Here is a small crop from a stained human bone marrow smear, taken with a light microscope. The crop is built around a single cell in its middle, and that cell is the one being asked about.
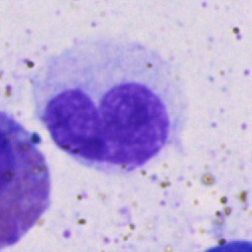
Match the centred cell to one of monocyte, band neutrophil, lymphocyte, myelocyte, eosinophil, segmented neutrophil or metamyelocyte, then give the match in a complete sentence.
Classified as a band neutrophil is the cell in the middle of this crop.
